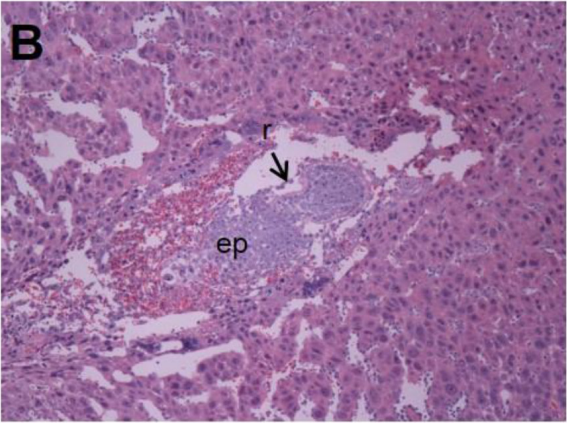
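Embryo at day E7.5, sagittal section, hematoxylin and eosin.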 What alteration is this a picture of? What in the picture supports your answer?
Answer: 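Developmentally retarded. Only a small, disorganised cluster of cells is present. No layered embryo or central cavity is formed. Much blood lies in the space around the cell cluster.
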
